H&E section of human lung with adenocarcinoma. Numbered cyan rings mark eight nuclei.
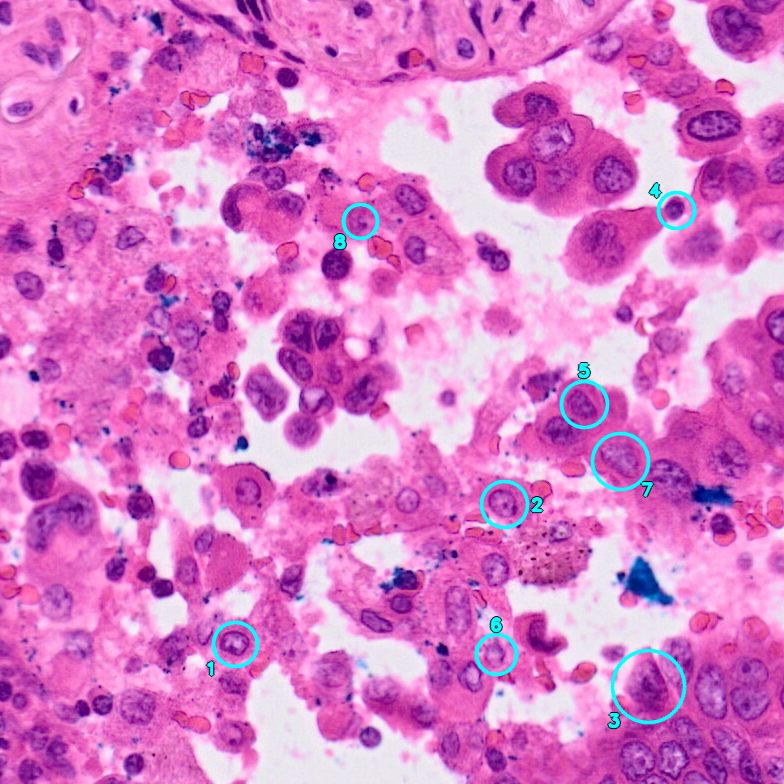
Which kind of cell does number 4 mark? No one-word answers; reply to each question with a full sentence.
The cell indicated with the number 4 is classed as a lymphocyte.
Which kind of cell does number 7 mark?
The cell numbered 7 represents a carcinoma cell.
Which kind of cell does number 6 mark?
The cell indicated by marker 6 is a macrophage or monocyte in this section.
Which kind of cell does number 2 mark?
The cell identified by number 2 is a macrophage or monocyte.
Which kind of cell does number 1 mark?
The cell identified by the number 1 is a macrophage or monocyte.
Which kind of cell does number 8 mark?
Identified by the number 8, the cell is a macrophage or monocyte.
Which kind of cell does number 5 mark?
Belonging to a carcinoma cell is the nucleus that carries the number 5.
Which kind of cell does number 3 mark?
Looking at the numbered marks, cell 3 is a carcinoma cell.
